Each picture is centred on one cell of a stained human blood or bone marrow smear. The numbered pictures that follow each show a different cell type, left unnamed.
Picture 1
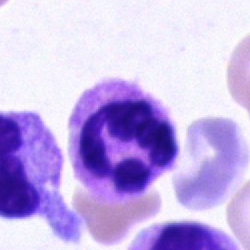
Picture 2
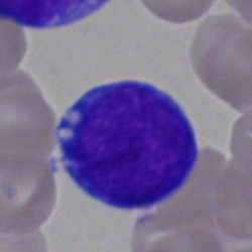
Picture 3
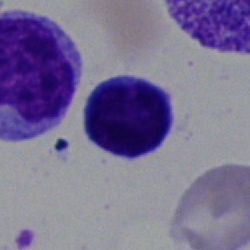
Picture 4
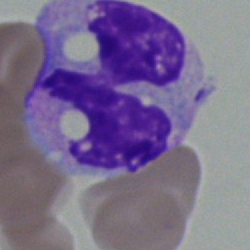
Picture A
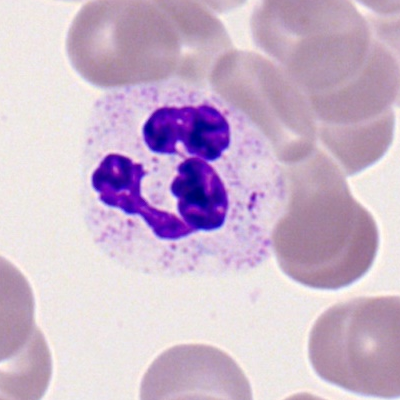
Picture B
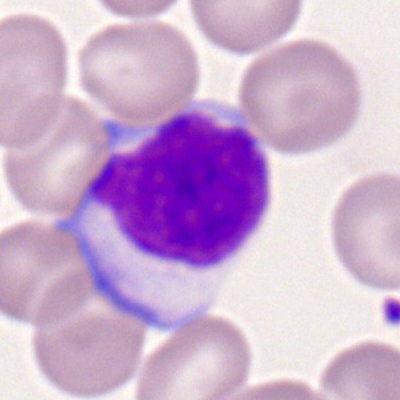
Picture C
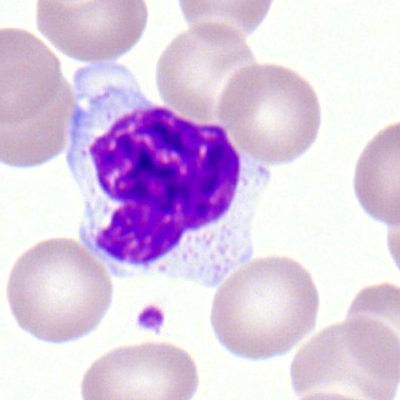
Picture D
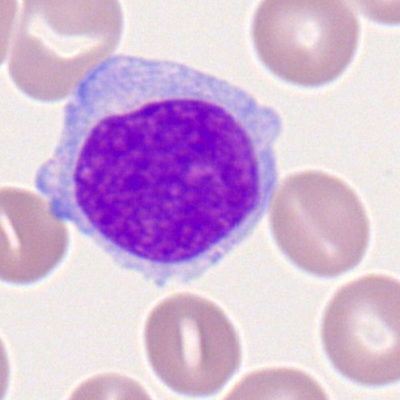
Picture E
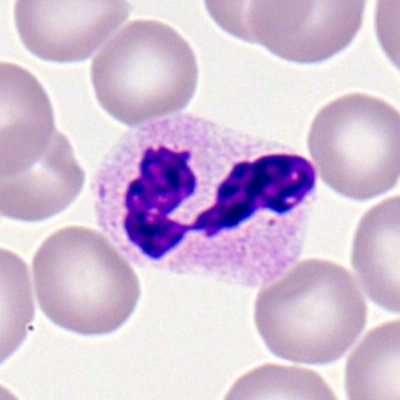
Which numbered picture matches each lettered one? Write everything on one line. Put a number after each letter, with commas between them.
A 1, B 3, C 3, D 2, E 1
